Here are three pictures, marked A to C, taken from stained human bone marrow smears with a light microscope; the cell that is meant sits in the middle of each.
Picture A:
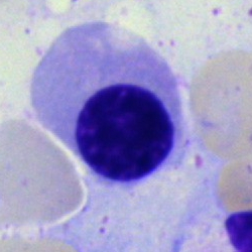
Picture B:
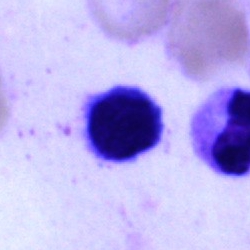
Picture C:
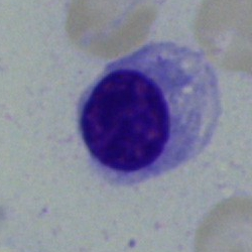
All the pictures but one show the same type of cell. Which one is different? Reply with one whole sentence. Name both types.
Unlike the rest, which show erythroblasts, picture B shows a lymphocyte.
